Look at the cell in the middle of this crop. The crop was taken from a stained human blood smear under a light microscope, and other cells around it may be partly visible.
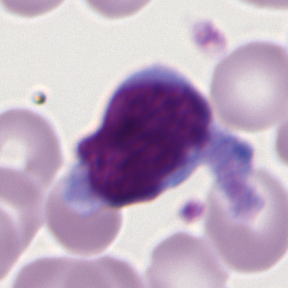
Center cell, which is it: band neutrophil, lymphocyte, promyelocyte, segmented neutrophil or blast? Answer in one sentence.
Centred in the crop is a lymphocyte.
